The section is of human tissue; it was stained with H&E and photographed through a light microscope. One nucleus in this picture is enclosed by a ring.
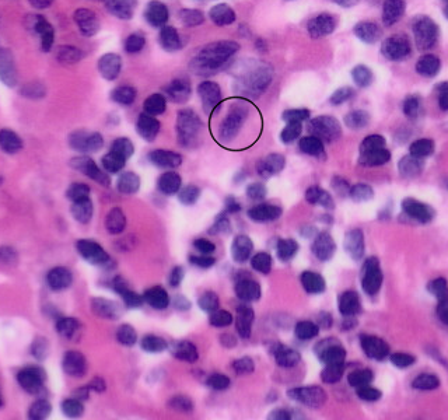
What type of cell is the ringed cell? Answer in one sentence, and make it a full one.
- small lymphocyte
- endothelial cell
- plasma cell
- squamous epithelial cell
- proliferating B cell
Typologically, the ringed cell is an endothelial cell in this section.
